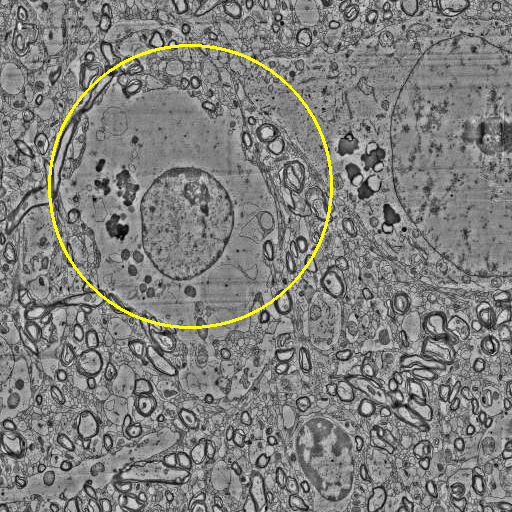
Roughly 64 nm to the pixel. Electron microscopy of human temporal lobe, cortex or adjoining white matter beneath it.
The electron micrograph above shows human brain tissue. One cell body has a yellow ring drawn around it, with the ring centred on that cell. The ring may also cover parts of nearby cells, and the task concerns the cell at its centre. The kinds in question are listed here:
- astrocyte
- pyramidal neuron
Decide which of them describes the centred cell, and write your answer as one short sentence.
The centred cell is an astrocyte.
